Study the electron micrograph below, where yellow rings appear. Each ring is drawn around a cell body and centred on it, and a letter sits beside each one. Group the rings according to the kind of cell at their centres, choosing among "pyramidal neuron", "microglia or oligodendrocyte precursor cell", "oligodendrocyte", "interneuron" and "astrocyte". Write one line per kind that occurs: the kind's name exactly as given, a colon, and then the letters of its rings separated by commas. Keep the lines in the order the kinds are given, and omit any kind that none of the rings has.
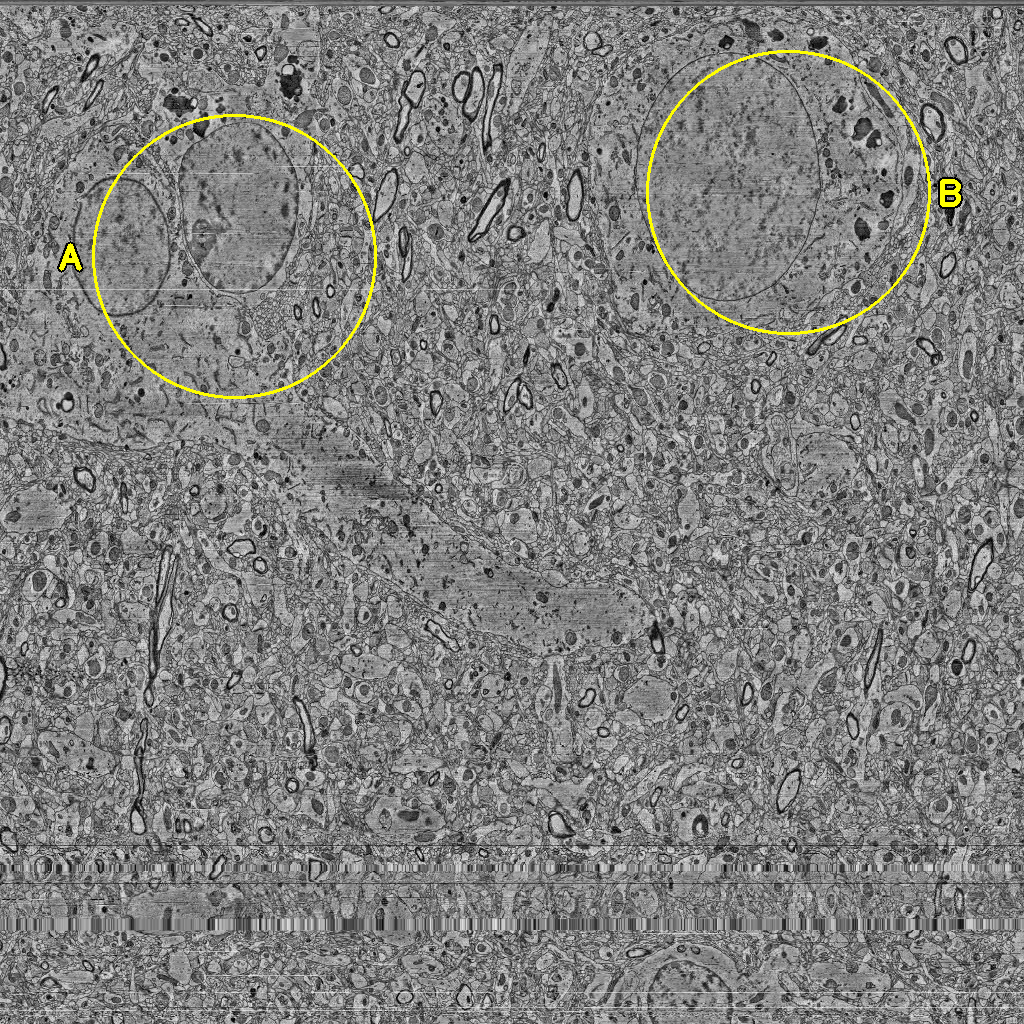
pyramidal neuron: B
astrocyte: A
